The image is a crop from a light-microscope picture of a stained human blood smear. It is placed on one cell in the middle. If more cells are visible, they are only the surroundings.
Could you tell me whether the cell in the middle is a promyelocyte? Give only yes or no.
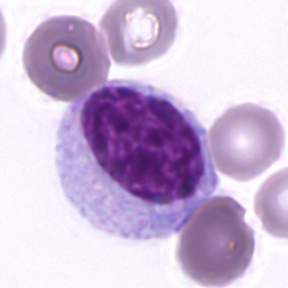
no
